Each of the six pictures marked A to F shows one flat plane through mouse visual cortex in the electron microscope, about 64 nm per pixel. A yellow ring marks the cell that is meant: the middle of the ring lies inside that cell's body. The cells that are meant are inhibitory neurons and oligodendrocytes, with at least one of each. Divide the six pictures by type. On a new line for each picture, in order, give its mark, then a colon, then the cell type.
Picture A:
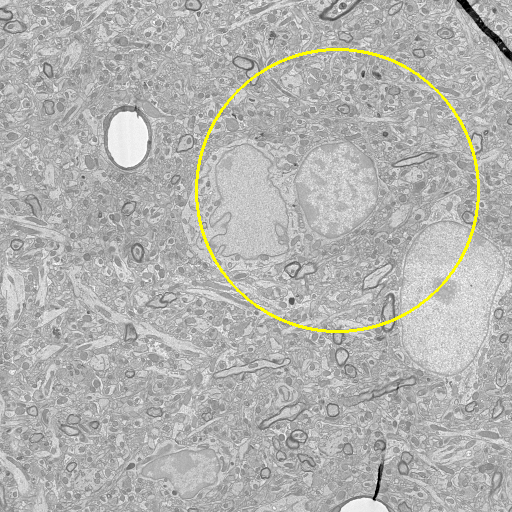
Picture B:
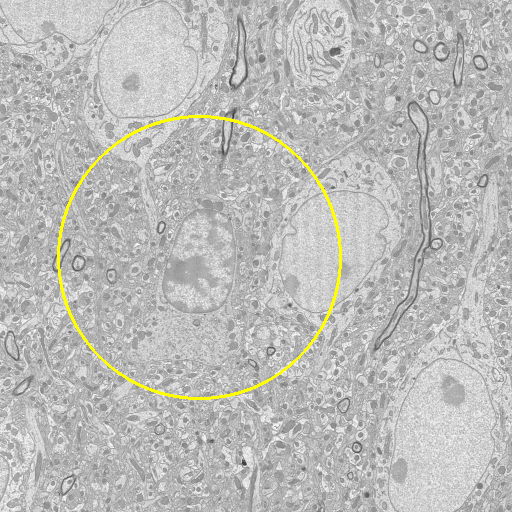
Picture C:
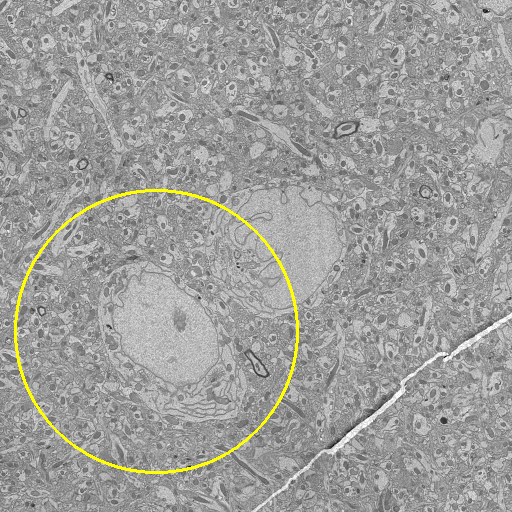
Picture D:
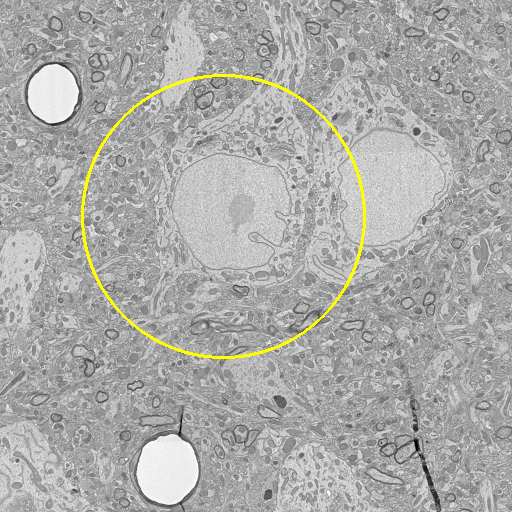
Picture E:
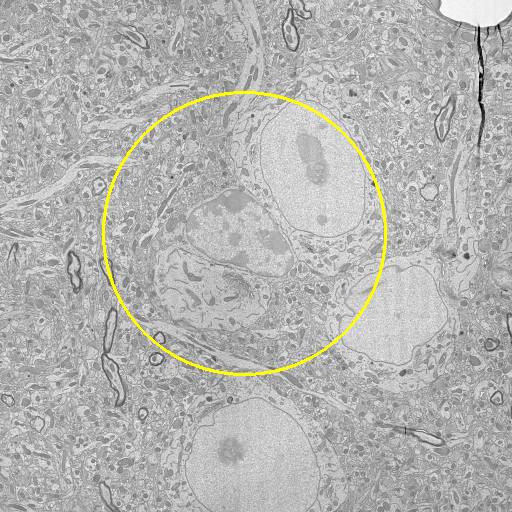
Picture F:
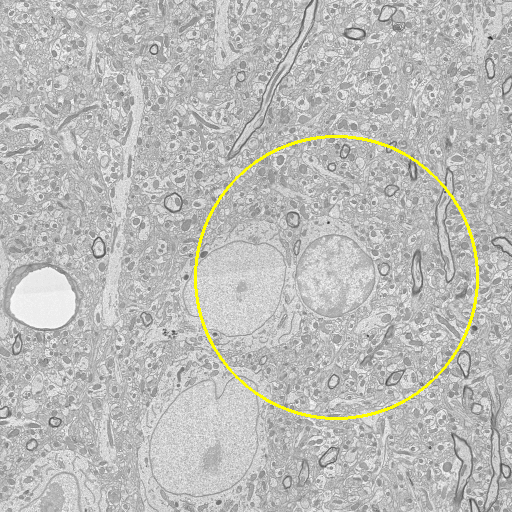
A: oligodendrocyte
B: oligodendrocyte
C: inhibitory neuron
D: inhibitory neuron
E: oligodendrocyte
F: oligodendrocyte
